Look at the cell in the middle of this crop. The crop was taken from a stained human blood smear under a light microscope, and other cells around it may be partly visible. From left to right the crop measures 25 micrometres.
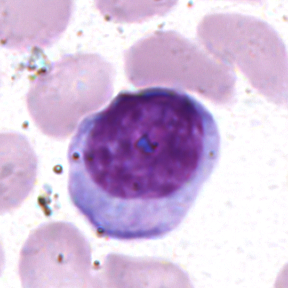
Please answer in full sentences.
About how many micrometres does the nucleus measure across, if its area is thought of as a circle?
Taken as a circle, the nucleus has a diameter of about 10 micrometres.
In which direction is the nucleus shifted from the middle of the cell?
Seen from the middle of the cell, the nucleus lies toward the top.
